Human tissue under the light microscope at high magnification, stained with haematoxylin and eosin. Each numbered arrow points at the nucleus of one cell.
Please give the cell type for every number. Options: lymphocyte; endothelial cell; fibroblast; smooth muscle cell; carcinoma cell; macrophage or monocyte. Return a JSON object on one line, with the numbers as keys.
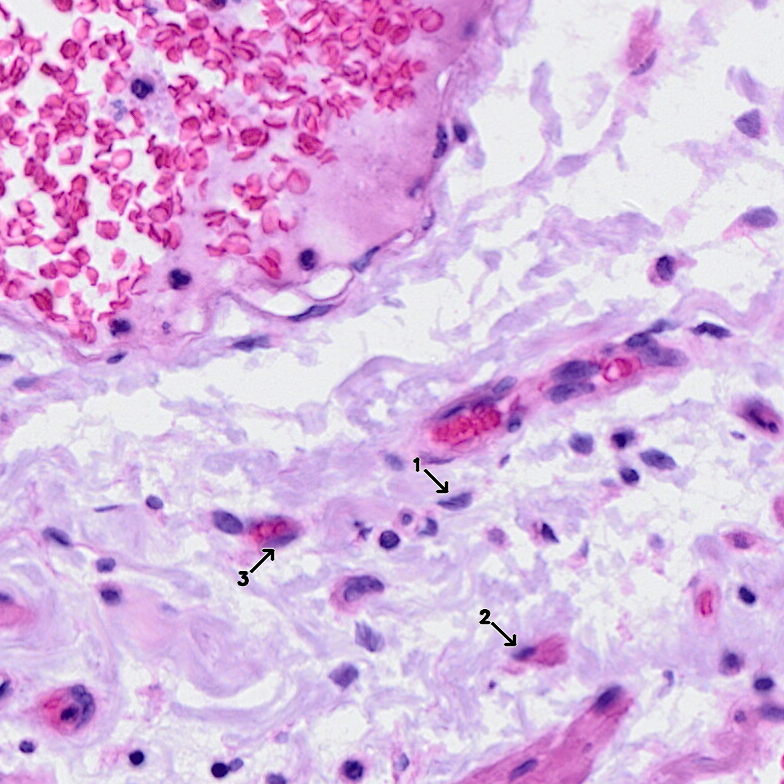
{"1": "fibroblast", "2": "smooth muscle cell", "3": "endothelial cell"}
